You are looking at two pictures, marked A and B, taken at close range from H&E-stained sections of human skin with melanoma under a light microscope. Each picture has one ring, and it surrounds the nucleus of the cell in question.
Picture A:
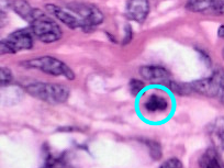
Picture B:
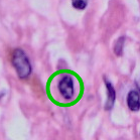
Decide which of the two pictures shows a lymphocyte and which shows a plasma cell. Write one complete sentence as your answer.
It is picture A that shows a lymphocyte, and picture B that shows a plasma cell.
